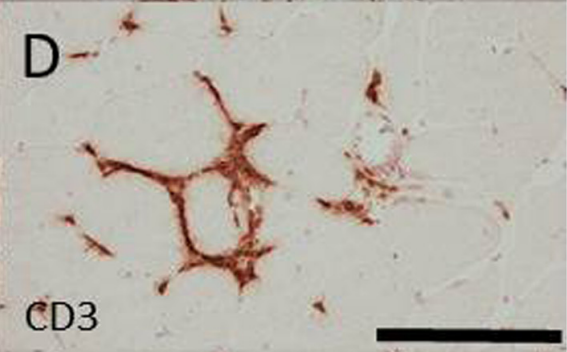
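Skeletal muscle in cross-section, where a non-necrotic muscle fiber is surrounded by lymphocytes stained brown. The fibers are large, pale and polygonal. In the center one fiber is ringed on all sides by a dense band of small brown cells that fill the spaces around it, while its own interior remains pale and unbroken. More brown cells extend into the neighbouring spaces between fibers and gather near a small vessel at the right.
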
